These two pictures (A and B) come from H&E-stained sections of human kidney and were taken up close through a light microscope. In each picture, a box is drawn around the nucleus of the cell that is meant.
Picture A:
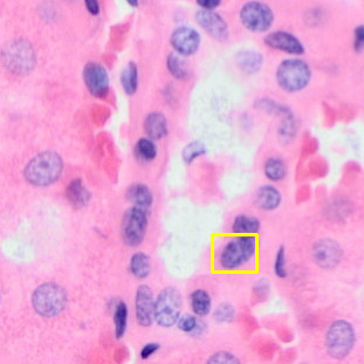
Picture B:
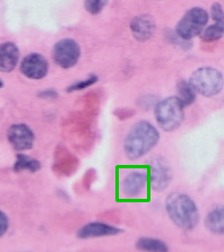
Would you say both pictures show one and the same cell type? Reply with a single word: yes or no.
yes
